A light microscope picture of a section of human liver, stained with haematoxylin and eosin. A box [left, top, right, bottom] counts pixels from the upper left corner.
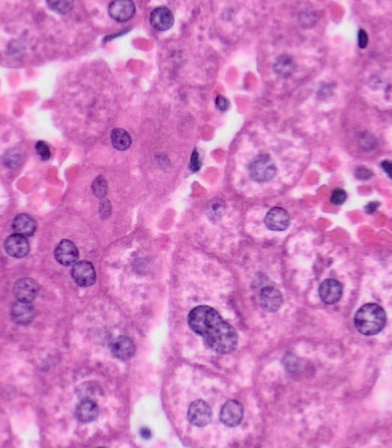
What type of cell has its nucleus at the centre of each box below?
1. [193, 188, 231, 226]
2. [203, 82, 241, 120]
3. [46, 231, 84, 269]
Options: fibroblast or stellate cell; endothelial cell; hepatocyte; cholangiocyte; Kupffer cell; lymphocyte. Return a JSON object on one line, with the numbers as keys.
{"1": "hepatocyte", "2": "lymphocyte", "3": "hepatocyte"}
